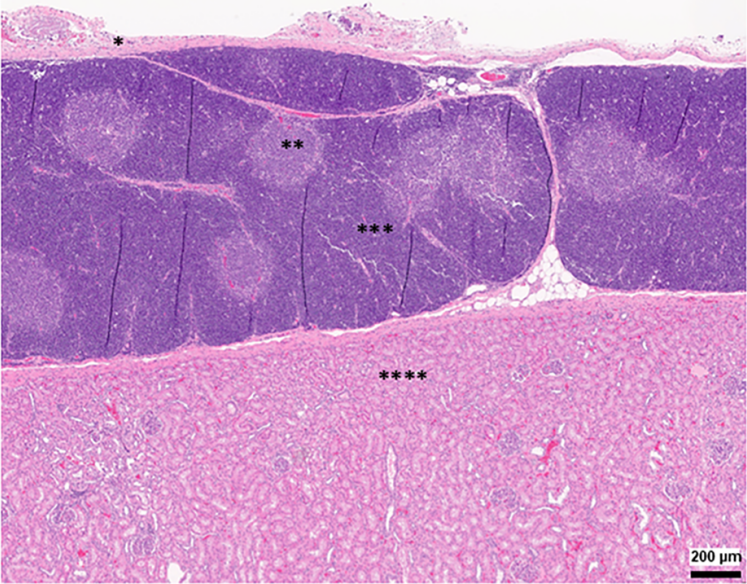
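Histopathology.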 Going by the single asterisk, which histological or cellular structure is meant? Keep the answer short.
Kidney Capsule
